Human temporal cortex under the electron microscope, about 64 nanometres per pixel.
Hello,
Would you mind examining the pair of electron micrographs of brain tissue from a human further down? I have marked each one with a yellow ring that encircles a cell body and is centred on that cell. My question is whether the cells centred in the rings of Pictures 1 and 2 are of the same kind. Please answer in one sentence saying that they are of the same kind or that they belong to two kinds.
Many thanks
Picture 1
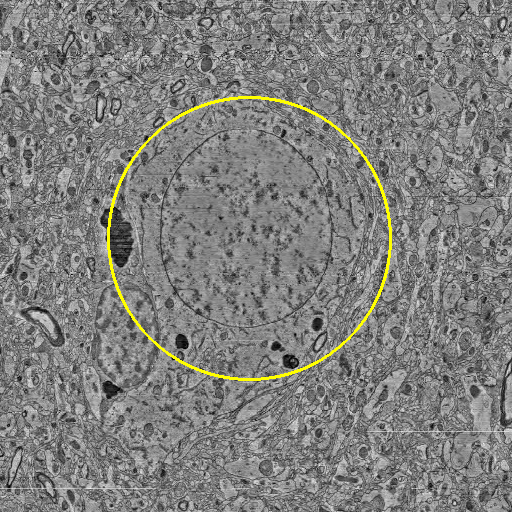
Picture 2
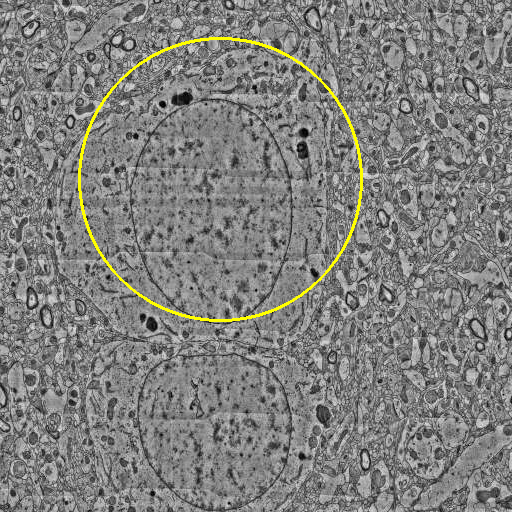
In Pictures 1 and 2, the cells at the heart of the rings are of the same kind.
